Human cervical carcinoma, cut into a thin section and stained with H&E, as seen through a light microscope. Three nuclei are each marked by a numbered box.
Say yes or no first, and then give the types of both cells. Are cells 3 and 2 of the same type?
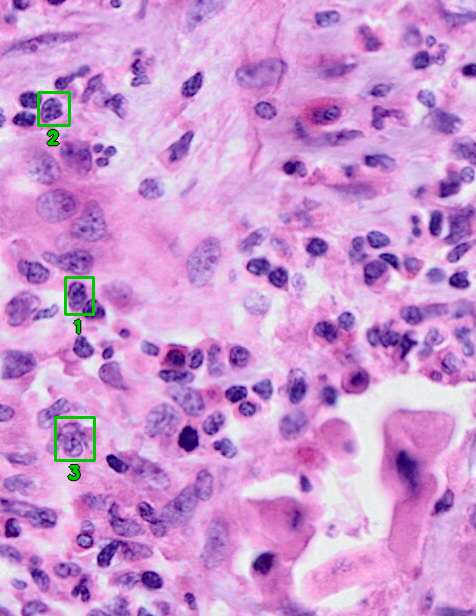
No, cell 3 is a macrophage or monocyte, while cell 2 is a lymphocyte.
